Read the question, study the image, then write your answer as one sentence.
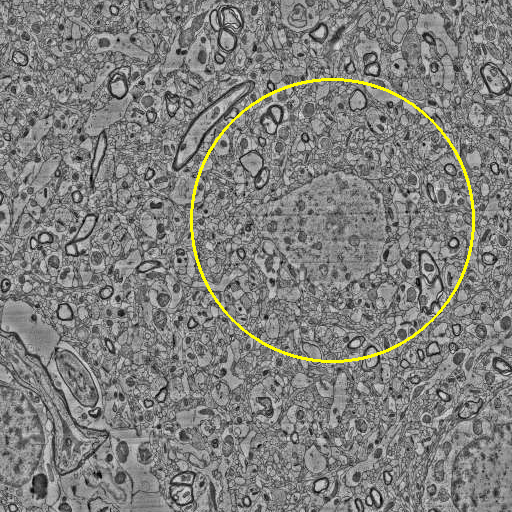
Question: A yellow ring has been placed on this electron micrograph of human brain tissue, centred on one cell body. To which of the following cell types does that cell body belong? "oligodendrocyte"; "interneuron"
That cell body belongs to an interneuron.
